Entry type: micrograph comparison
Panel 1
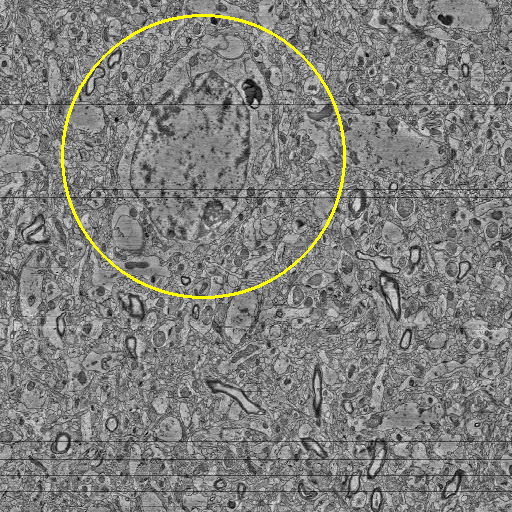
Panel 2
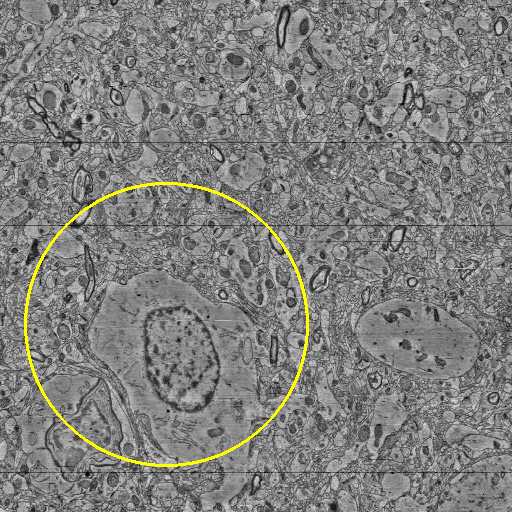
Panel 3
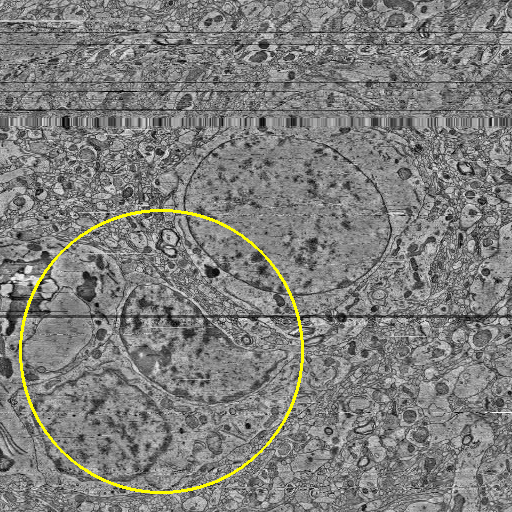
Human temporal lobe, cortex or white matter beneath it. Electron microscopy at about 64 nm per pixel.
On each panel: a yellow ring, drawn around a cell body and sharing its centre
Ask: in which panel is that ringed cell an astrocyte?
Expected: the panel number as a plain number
2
